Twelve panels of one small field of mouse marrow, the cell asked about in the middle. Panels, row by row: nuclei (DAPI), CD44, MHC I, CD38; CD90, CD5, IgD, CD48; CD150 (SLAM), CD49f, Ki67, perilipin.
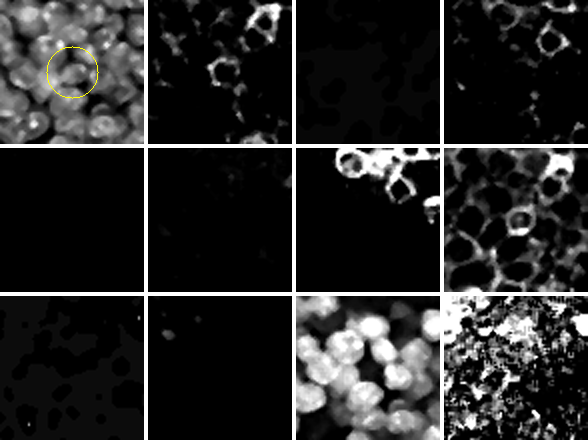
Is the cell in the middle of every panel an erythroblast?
No, it is a monocyte.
